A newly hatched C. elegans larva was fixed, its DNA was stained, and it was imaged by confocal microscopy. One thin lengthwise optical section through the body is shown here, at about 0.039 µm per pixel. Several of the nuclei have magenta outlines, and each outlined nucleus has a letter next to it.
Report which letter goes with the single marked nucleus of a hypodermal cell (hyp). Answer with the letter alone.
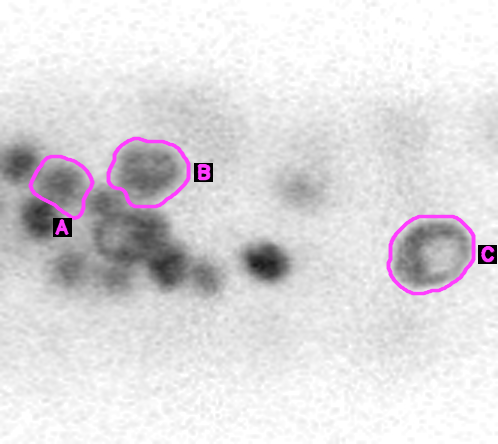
C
